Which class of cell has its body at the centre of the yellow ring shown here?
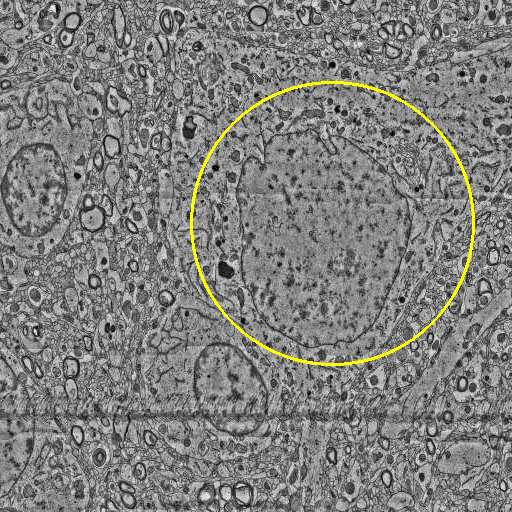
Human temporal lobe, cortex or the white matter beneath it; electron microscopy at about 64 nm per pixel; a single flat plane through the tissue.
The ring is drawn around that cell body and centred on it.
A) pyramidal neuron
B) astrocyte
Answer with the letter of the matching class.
A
